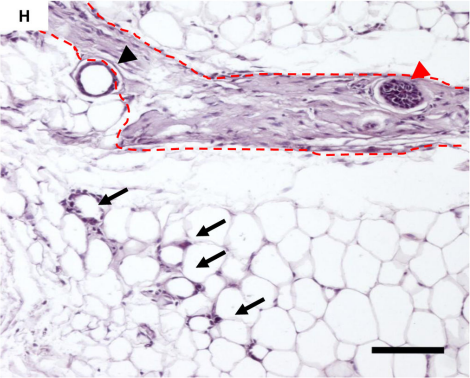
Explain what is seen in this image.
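Across the upper part runs a band of dense pink fibrous tissue with elongated nuclei. It is set among large, empty-looking fat cells with thin walls. One is a solid, multilayered ball of packed cells, and the other is a hollow ring of a single cell layer around a clear lumen.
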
